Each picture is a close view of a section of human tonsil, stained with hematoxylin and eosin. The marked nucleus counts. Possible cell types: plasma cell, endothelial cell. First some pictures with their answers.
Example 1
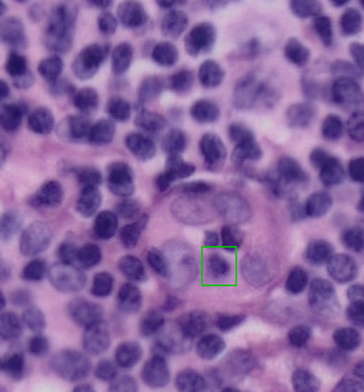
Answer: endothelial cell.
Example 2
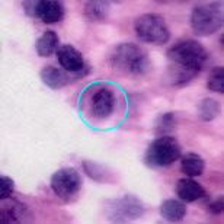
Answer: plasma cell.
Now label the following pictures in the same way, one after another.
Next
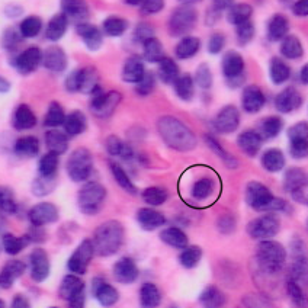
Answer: endothelial cell.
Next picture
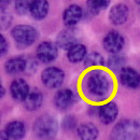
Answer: plasma cell.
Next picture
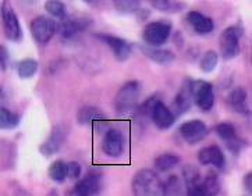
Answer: endothelial cell.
